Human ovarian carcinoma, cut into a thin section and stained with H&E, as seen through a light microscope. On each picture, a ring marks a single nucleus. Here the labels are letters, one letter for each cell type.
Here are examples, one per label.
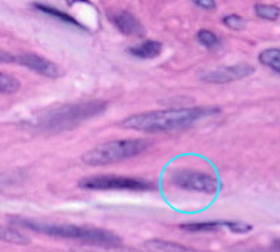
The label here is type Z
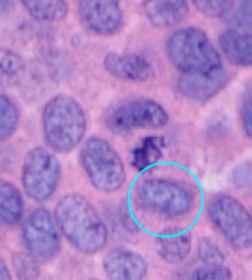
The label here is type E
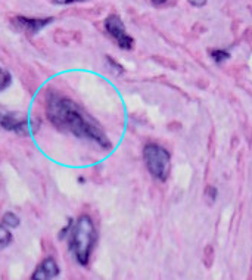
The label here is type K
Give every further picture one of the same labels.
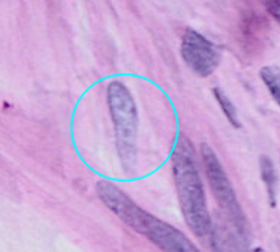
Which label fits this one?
type Z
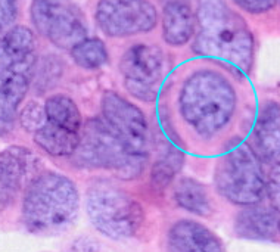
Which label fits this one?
type E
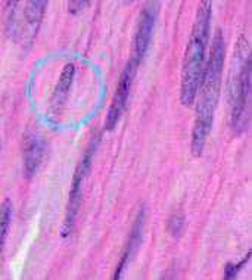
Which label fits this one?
type Z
